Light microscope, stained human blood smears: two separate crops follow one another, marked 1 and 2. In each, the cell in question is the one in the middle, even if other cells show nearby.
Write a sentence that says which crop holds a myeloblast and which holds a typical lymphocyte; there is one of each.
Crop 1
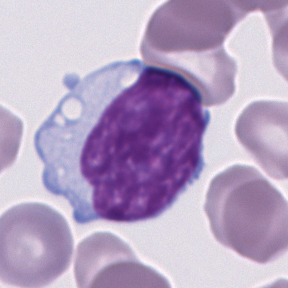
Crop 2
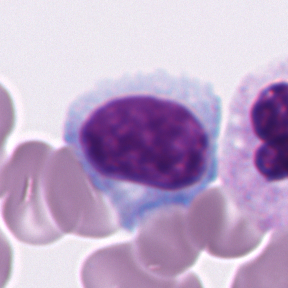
Well, crop 1 is a myeloblast, and crop 2 is a typical lymphocyte.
